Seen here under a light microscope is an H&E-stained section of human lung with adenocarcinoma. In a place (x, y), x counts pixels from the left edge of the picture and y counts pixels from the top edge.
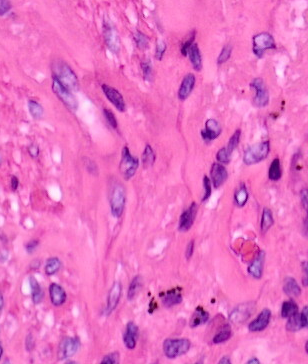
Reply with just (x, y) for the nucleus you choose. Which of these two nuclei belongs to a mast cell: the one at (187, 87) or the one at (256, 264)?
(187, 87)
